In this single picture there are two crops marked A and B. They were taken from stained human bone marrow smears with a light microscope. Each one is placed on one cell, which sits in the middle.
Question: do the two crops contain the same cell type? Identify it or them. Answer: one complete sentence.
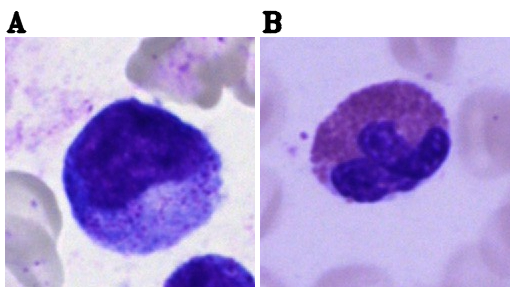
No, a promyelocyte is in crop A, while an eosinophil is in crop B.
